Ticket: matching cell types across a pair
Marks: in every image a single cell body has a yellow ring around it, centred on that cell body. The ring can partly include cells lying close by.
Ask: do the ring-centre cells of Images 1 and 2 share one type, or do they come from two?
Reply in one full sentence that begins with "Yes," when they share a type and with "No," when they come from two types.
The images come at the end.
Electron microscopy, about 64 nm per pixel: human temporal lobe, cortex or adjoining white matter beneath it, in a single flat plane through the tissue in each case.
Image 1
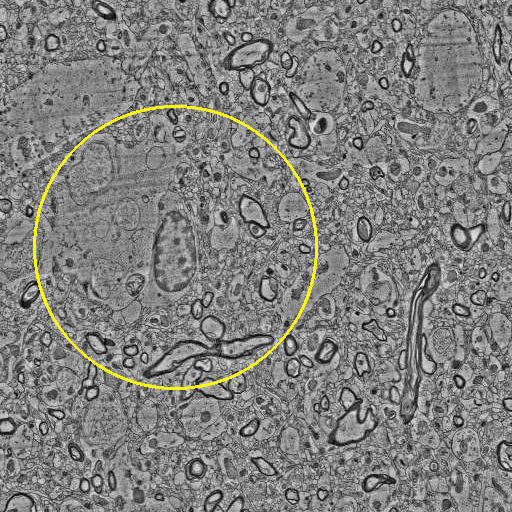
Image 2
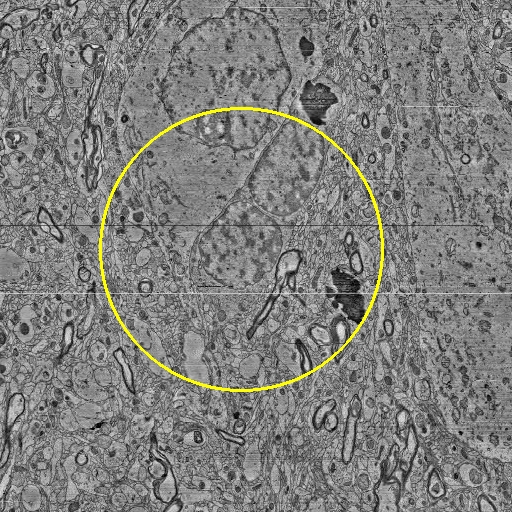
Yes, the cells in the centres of the rings in Image 1 and Image 2 share one type.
